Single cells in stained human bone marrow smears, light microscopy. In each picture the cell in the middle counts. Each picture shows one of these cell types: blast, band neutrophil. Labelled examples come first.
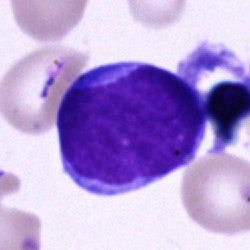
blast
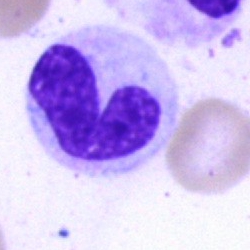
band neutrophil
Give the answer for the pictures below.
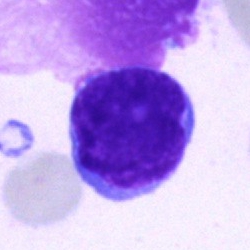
blast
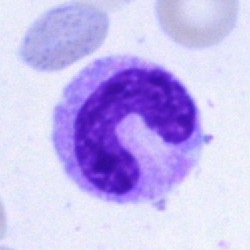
band neutrophil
